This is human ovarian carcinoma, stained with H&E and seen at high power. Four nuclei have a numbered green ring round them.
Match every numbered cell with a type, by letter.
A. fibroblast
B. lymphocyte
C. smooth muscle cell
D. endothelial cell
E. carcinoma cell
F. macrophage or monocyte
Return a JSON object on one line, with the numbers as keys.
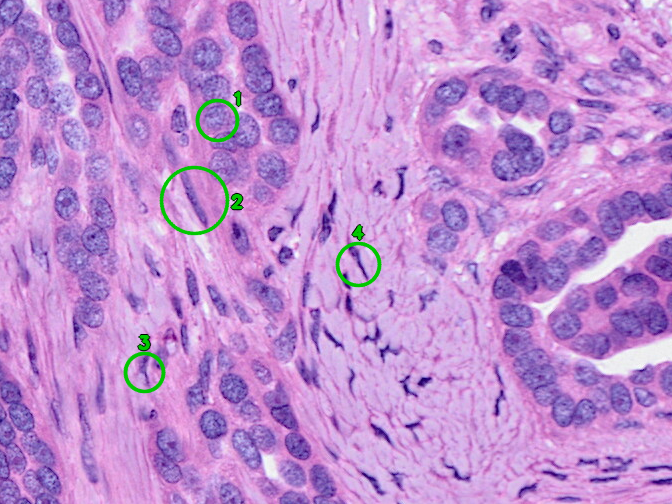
{"1": "E", "2": "A", "3": "A", "4": "A"}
